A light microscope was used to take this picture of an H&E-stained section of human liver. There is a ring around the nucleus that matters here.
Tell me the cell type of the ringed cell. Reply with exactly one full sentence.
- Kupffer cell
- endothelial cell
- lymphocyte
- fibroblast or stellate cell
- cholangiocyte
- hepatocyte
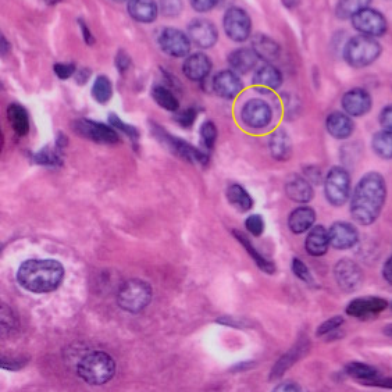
The cell type of the ringed cell is that of a cholangiocyte.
